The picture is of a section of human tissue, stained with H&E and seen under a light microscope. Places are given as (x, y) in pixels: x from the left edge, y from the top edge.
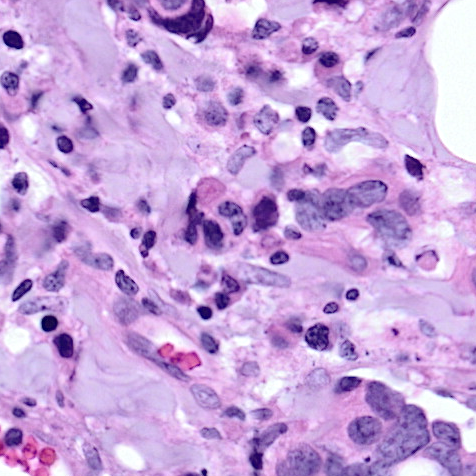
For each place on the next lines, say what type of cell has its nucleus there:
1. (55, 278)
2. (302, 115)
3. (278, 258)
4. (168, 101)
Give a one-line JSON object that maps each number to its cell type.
{"1": "mast cell", "2": "lymphocyte", "3": "lymphocyte", "4": "lymphocyte"}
